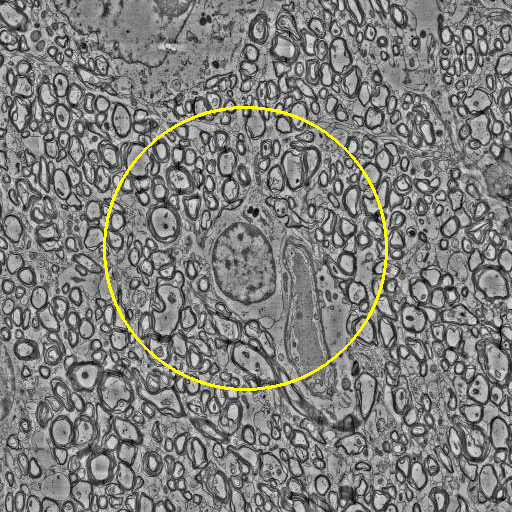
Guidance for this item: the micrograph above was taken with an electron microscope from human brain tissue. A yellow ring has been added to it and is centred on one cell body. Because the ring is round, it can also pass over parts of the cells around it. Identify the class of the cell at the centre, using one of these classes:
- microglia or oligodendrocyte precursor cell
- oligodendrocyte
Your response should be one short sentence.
The ring surrounds the body of a microglial cell or oligodendrocyte precursor cell.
